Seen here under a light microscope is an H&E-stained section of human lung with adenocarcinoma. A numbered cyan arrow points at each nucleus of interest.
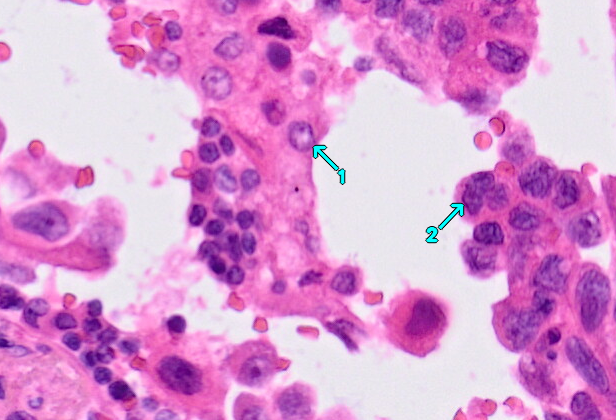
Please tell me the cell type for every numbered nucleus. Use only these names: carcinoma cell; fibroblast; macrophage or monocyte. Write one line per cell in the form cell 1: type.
cell 1: macrophage or monocyte
cell 2: carcinoma cell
